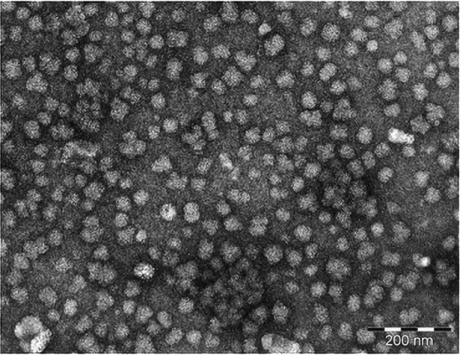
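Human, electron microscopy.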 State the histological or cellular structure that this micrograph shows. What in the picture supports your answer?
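Exosomes. Many small round vesicles densely scattered across the field. The vesicles are far smaller than the 200 nm scale bar, a few tens of nanometres each. The vesicles are roughly uniform in size with a few larger bright aggregates.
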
